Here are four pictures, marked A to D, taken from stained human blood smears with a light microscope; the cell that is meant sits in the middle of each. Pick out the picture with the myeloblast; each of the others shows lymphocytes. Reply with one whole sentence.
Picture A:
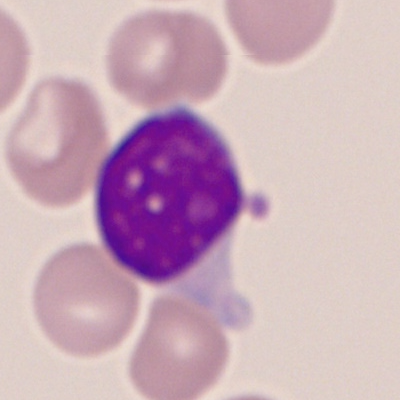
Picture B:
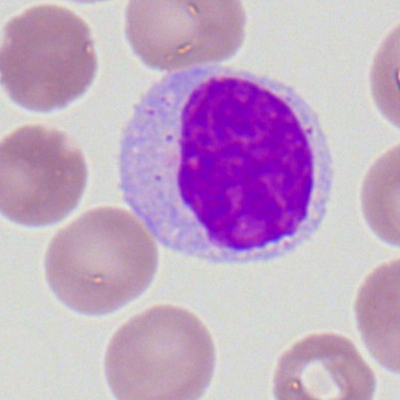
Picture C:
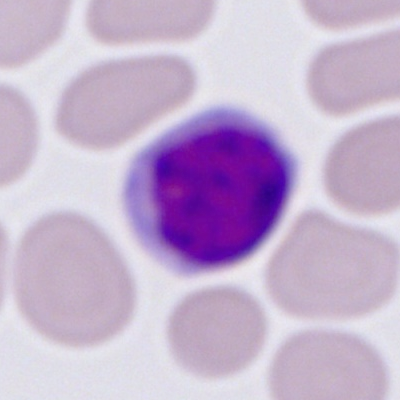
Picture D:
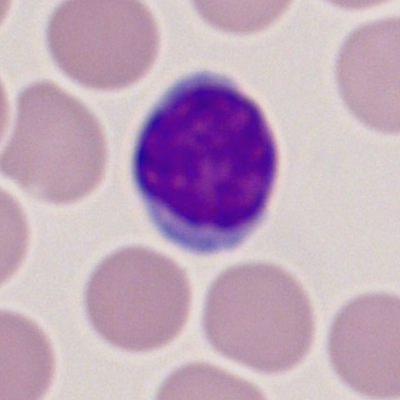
Picture A is the one that shows the myeloblast.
